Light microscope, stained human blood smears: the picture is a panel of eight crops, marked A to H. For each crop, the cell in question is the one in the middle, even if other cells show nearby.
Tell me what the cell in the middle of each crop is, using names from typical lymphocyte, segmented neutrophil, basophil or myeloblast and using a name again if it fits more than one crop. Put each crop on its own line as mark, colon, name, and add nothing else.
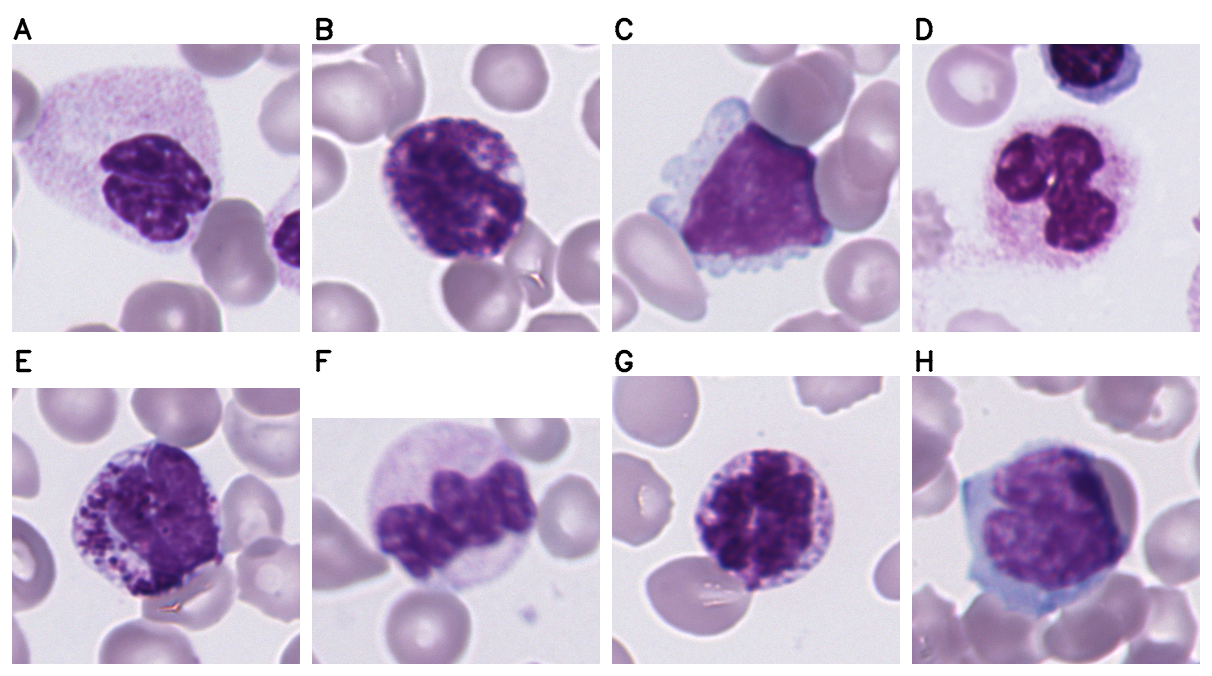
A: segmented neutrophil
B: basophil
C: typical lymphocyte
D: segmented neutrophil
E: basophil
F: segmented neutrophil
G: basophil
H: myeloblast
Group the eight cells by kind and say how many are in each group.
segmented neutrophil: 3
basophil: 3
typical lymphocyte: 1
myeloblast: 1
